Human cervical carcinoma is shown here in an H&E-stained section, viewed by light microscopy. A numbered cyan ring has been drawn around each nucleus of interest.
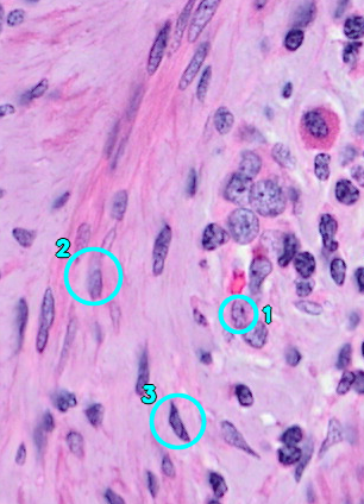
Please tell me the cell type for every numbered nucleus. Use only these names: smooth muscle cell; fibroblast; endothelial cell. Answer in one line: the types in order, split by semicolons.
endothelial cell; smooth muscle cell; fibroblast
